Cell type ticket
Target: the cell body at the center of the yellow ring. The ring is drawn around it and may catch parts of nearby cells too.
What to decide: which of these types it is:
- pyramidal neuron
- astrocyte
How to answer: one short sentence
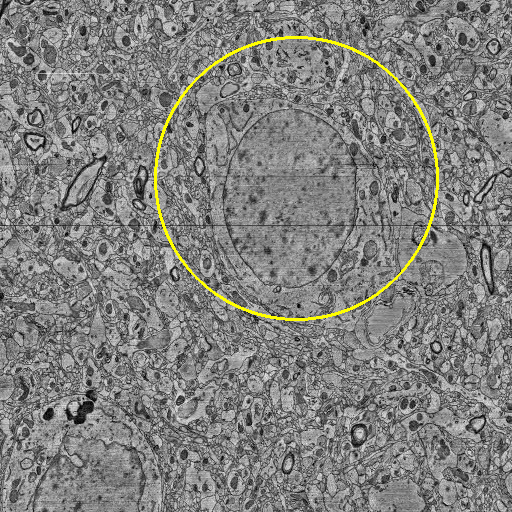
The cell at the center of the ring is a pyramidal neuron.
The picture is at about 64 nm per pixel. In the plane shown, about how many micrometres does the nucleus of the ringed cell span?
The nucleus measures about 12 by 9 micrometres in this plane.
